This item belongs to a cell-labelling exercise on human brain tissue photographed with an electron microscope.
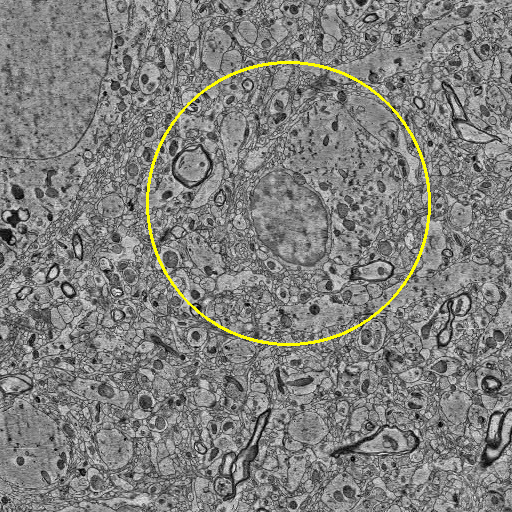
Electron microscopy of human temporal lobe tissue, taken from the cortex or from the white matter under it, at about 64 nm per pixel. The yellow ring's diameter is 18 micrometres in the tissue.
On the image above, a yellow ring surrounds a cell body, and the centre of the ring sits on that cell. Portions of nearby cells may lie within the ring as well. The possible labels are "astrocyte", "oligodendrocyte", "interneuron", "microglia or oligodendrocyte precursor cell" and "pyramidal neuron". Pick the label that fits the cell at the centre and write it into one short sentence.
This cell should be labelled as an oligodendrocyte.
